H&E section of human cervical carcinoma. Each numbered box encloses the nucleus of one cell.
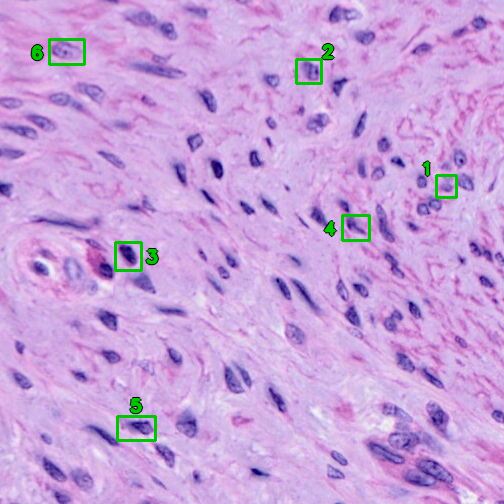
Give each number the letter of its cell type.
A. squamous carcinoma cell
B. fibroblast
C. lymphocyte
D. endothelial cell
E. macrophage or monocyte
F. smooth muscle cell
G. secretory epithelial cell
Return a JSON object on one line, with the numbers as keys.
{"1": "F", "2": "F", "3": "C", "4": "F", "5": "B", "6": "F"}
